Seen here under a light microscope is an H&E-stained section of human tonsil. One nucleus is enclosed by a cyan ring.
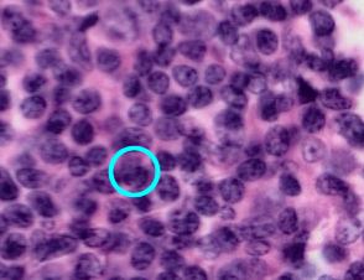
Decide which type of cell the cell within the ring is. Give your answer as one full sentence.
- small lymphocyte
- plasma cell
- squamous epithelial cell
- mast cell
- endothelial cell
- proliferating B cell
As for its identity, the cell within the ring is a small lymphocyte.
